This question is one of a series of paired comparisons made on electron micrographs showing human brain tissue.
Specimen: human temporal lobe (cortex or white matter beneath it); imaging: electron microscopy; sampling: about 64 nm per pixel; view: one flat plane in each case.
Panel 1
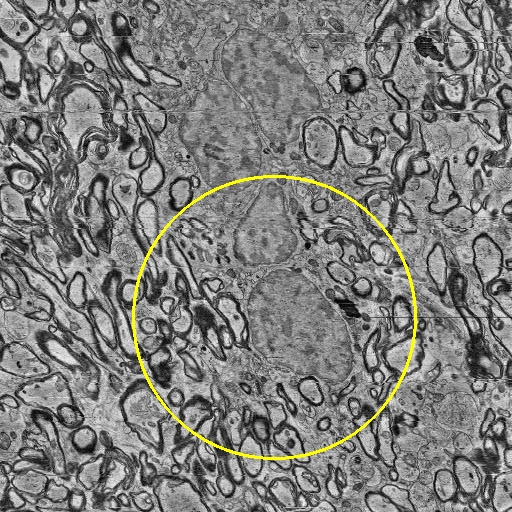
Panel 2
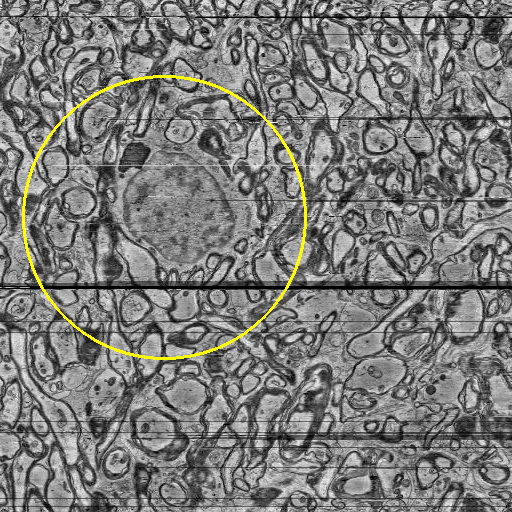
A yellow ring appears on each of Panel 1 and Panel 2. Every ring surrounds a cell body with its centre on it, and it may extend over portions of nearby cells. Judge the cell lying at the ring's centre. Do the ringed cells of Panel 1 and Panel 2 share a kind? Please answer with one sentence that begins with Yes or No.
Yes, the ring-centre cell in Panel 1 and the one in Panel 2 are of one kind.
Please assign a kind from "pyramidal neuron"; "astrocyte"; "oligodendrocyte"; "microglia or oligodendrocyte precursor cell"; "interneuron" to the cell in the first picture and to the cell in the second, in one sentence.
Each of the two pictures has an oligodendrocyte at the ring centre.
